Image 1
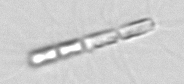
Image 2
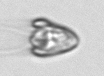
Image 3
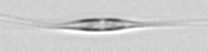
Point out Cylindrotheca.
That is picture 3.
